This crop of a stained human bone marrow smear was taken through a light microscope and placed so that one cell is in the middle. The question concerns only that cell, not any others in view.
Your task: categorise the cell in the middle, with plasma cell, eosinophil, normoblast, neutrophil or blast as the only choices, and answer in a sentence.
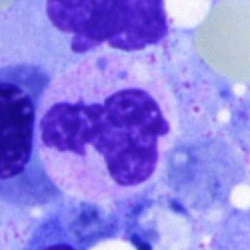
The cell featured at the centre of this crop is a neutrophil.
